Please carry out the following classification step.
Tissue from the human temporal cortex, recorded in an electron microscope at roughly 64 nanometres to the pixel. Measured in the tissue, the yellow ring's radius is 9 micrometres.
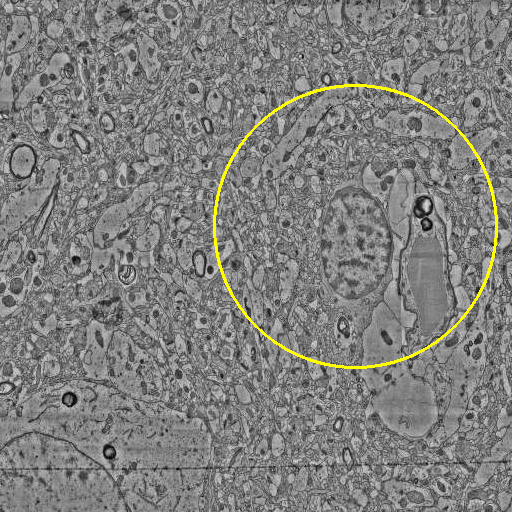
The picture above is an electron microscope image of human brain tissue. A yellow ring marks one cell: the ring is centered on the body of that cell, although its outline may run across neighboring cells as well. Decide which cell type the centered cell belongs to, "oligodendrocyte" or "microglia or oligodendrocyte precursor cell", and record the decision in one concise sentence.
The cell centered in the yellow ring is an oligodendrocyte.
